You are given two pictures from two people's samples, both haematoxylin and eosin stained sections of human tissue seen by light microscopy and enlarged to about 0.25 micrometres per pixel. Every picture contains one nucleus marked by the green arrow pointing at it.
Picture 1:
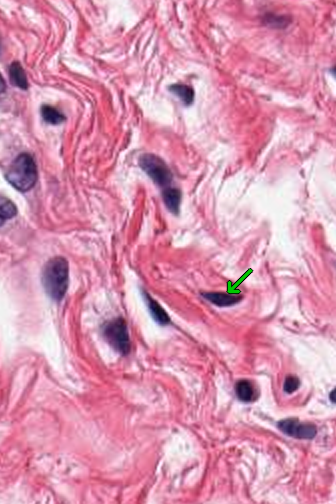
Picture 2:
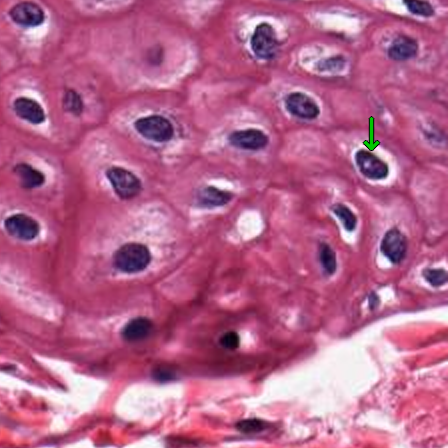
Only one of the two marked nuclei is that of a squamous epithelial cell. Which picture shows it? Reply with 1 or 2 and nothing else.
2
